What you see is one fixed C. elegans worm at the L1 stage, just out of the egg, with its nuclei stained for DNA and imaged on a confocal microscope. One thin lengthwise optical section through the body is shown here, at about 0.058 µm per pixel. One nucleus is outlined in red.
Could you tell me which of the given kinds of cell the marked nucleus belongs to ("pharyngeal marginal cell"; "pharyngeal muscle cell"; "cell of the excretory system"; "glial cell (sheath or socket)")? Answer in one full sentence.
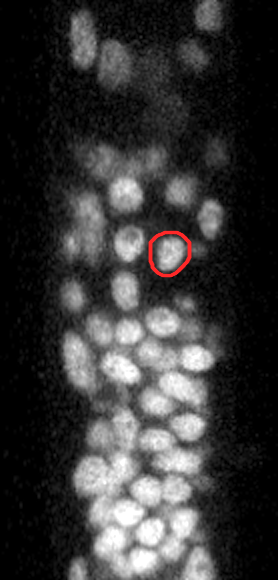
It belongs to a pharyngeal marginal cell.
